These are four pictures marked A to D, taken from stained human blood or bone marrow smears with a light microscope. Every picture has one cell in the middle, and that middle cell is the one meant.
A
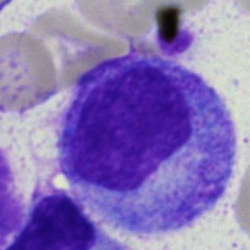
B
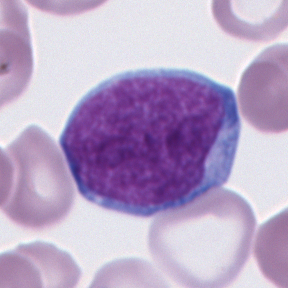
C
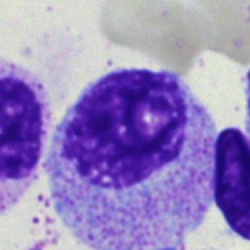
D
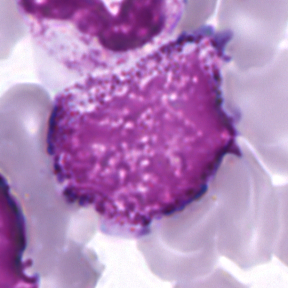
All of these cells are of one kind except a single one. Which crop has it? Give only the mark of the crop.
B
